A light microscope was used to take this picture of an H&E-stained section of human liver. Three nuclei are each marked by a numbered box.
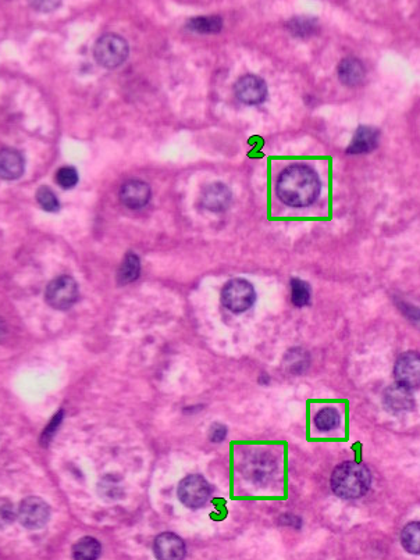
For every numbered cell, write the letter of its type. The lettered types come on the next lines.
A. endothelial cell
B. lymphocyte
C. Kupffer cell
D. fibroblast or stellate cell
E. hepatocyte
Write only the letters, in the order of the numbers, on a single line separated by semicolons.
B; E; E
